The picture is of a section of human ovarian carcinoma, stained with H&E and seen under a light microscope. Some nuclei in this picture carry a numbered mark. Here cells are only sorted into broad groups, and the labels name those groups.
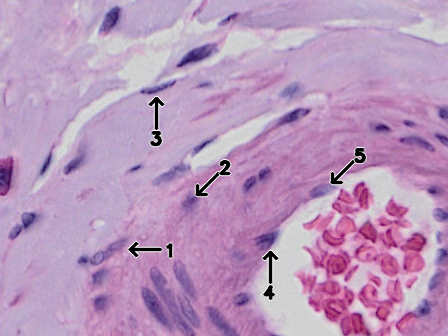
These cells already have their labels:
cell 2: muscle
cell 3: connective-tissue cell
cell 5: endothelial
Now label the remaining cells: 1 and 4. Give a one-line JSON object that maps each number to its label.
{"1": "muscle", "4": "endothelial"}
